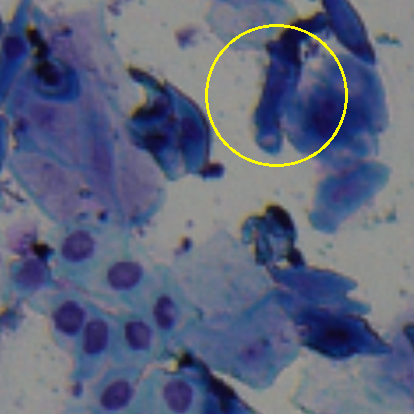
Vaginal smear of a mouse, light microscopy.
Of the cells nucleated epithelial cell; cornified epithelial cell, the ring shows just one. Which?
The ring shows a cornified epithelial cell.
